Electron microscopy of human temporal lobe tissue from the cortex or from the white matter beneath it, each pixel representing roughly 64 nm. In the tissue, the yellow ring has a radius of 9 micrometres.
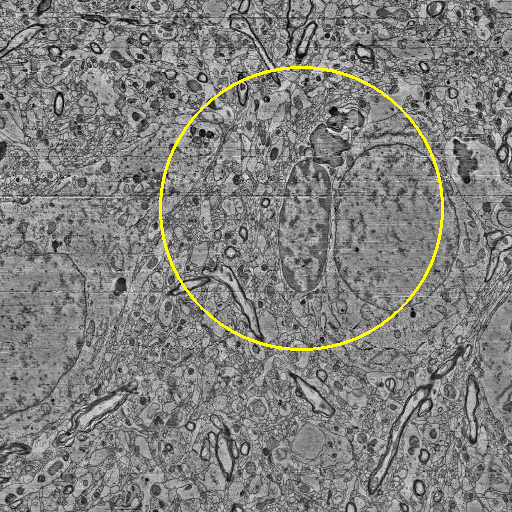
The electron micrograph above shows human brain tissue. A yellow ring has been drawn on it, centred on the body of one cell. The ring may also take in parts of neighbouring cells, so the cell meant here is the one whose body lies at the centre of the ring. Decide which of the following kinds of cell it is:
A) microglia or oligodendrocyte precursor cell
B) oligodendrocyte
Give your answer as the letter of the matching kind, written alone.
A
